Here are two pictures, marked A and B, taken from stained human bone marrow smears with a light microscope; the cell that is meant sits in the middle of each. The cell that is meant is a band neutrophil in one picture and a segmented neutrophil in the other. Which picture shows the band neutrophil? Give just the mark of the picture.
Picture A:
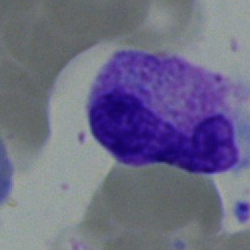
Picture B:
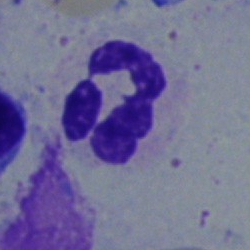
A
